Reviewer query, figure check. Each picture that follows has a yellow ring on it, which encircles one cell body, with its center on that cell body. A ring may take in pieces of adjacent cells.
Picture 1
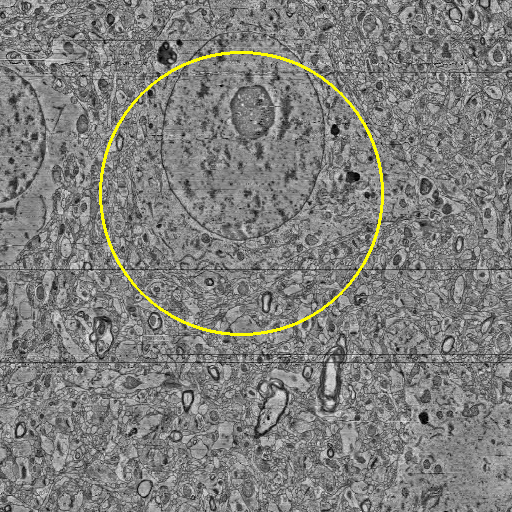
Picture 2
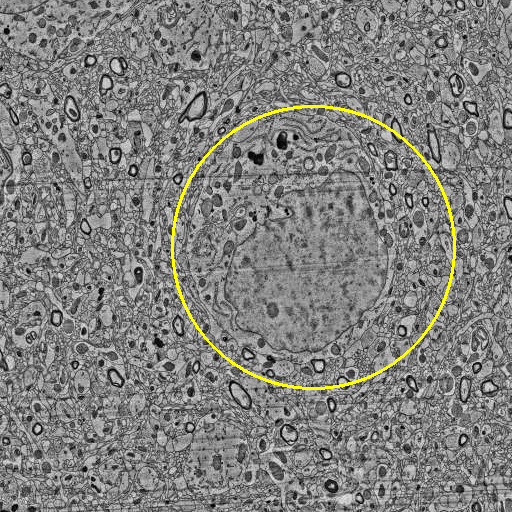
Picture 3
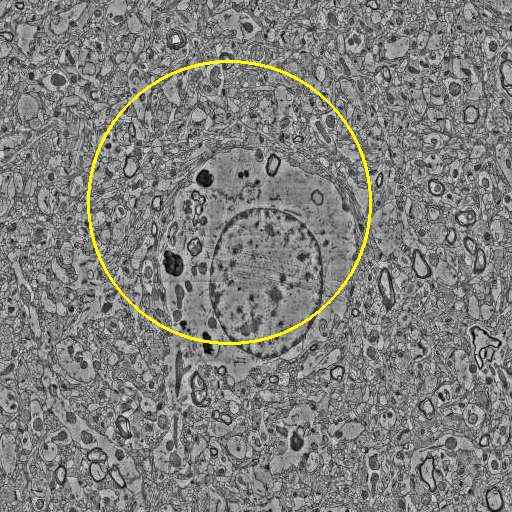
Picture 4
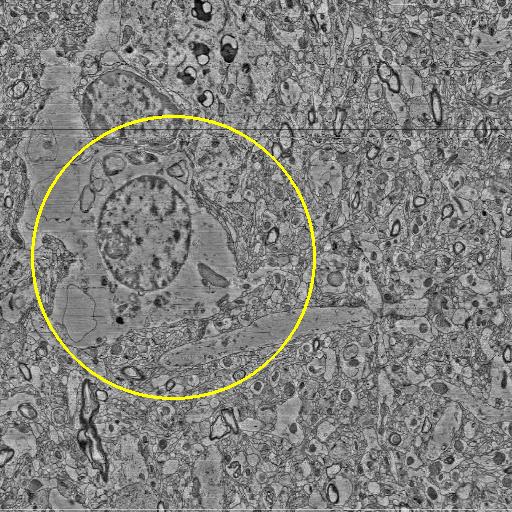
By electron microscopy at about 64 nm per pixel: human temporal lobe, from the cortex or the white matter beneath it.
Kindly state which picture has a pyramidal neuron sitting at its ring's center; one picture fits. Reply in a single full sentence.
In picture 1, the cell at the center of the ring is the requested one.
